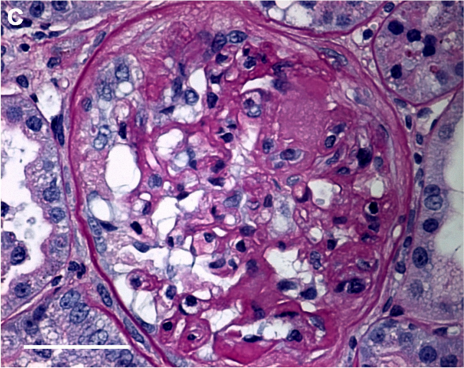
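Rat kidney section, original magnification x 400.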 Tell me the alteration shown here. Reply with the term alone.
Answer: glomerulosclerosis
